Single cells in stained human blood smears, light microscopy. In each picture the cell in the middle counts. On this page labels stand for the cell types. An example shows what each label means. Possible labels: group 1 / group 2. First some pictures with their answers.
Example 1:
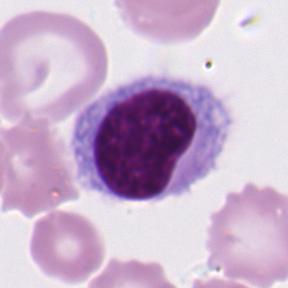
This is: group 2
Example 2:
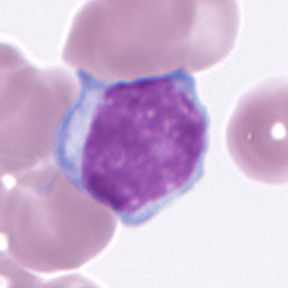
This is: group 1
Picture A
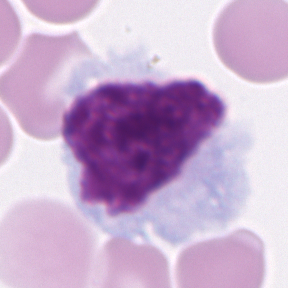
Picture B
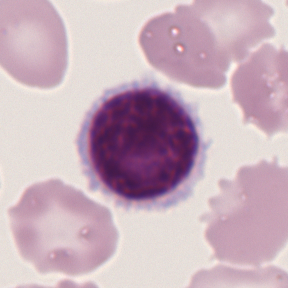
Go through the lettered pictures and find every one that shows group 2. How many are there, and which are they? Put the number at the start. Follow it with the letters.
2, namely A, B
